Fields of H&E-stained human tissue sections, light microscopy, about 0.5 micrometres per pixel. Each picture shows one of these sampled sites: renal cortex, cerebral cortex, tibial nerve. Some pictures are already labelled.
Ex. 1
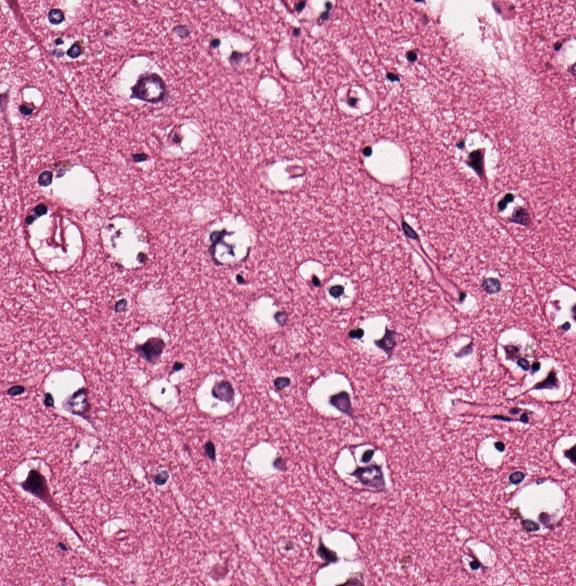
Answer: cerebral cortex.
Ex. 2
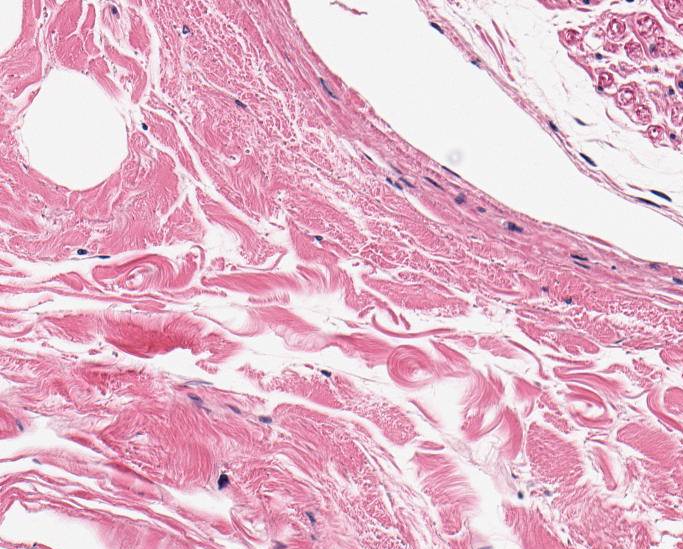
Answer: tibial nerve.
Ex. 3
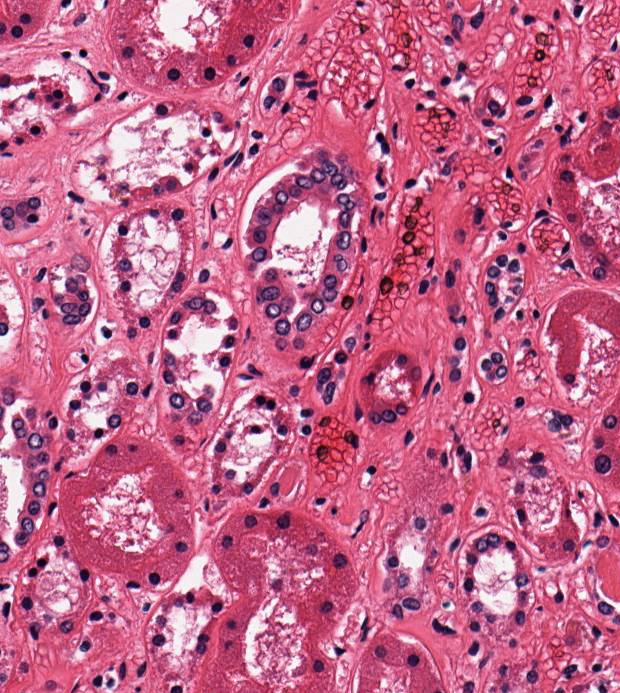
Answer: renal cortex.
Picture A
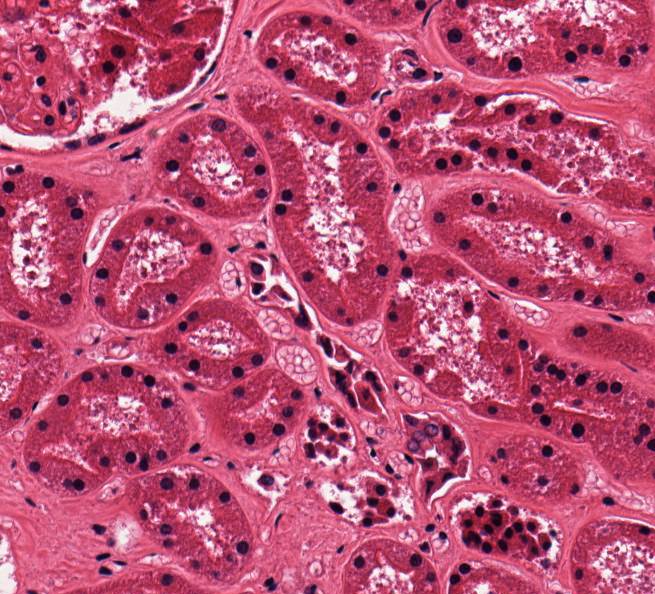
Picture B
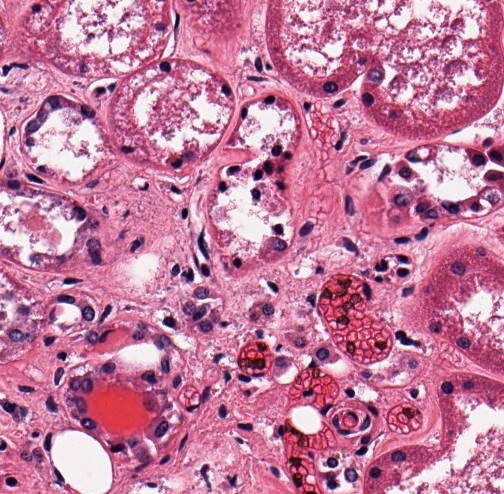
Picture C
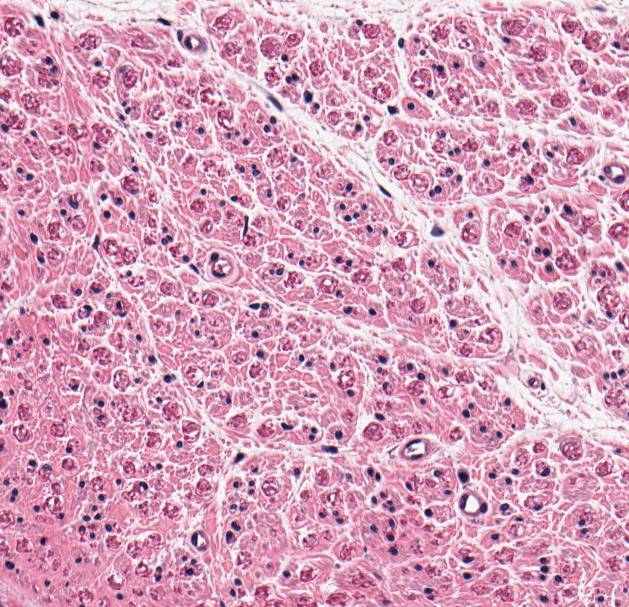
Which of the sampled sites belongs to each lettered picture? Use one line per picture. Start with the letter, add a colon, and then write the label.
A: renal cortex.
B: renal cortex.
C: tibial nerve.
